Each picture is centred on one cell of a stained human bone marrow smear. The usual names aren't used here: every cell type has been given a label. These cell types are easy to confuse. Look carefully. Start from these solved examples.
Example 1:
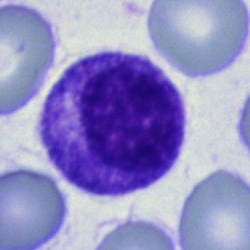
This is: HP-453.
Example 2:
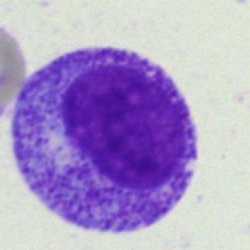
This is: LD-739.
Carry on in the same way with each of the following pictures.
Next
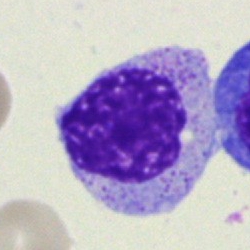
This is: LD-739.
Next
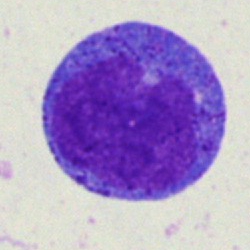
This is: HP-453.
